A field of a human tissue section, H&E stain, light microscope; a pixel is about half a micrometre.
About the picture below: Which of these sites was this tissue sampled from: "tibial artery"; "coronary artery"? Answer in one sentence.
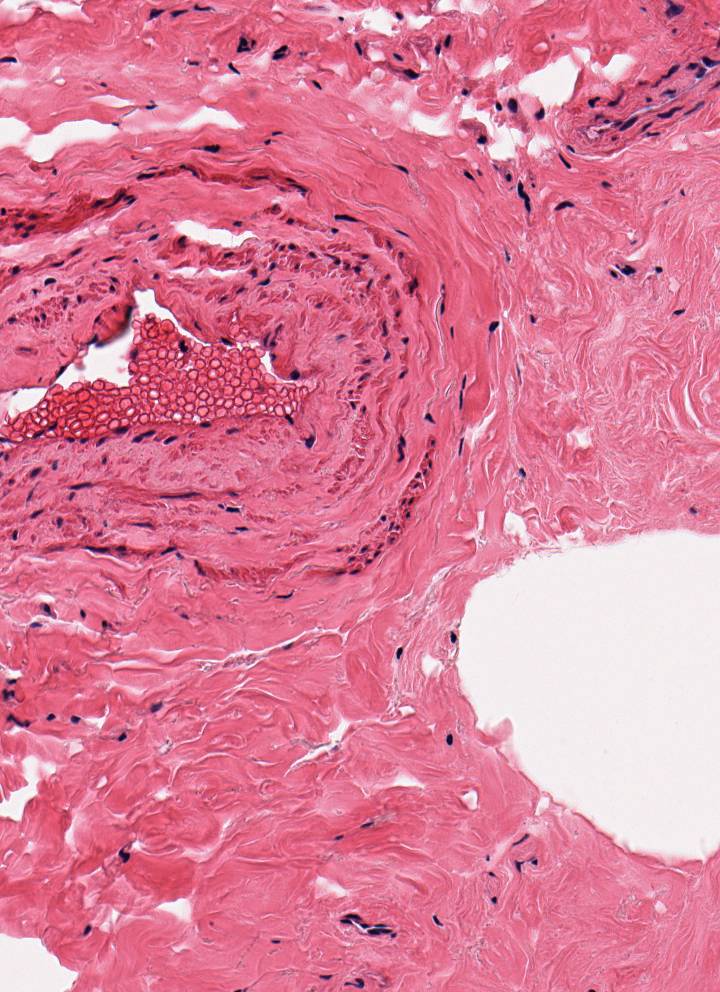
The site this tissue was sampled from is the tibial artery.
